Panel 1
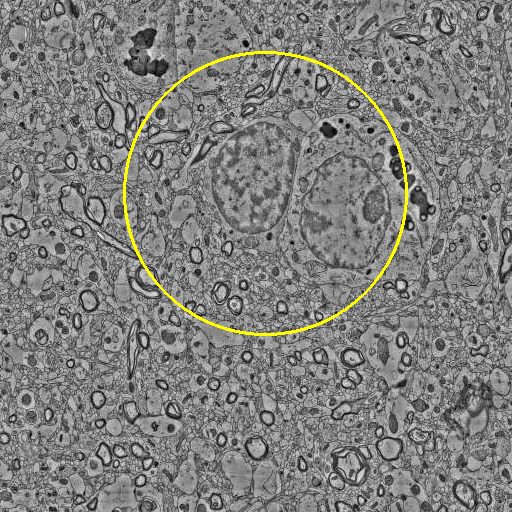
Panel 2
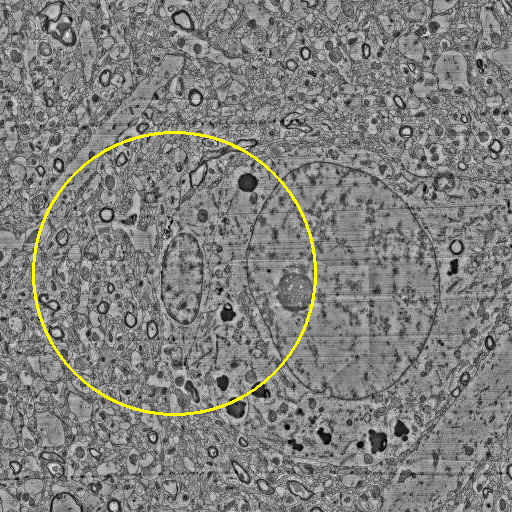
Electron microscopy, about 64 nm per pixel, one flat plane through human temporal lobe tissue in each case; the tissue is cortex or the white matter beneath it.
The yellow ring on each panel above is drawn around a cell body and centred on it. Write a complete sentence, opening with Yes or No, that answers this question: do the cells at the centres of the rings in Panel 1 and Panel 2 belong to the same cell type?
No, the two cells belong to two cell types.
